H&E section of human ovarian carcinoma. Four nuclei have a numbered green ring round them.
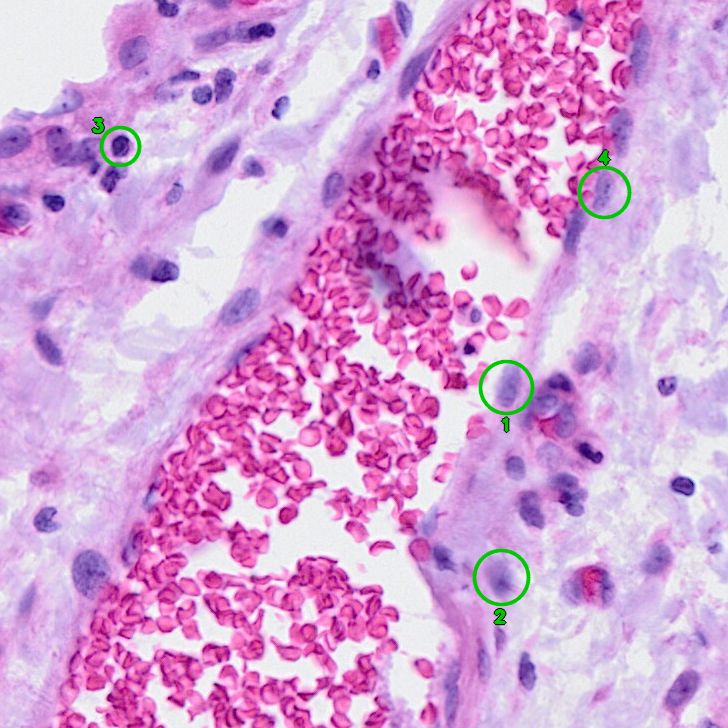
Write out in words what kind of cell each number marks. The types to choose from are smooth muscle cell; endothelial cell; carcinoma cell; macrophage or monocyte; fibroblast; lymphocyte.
Cells 1 and 4 are endothelial cells. Cell 2 is a fibroblast. Cell 3 is a lymphocyte.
